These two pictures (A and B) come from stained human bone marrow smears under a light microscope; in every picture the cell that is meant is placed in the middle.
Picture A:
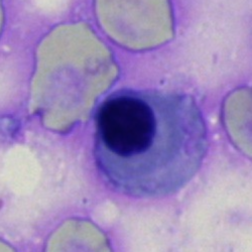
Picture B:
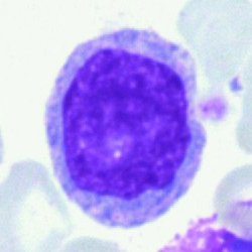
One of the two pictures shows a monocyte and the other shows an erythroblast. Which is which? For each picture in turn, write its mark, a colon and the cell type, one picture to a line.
A: erythroblast
B: monocyte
